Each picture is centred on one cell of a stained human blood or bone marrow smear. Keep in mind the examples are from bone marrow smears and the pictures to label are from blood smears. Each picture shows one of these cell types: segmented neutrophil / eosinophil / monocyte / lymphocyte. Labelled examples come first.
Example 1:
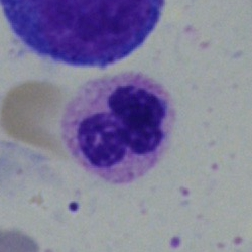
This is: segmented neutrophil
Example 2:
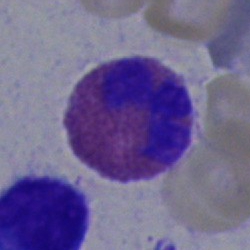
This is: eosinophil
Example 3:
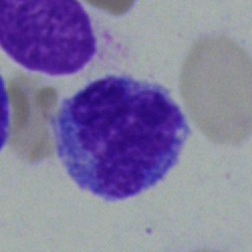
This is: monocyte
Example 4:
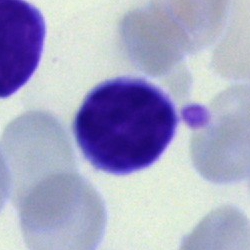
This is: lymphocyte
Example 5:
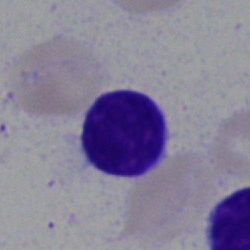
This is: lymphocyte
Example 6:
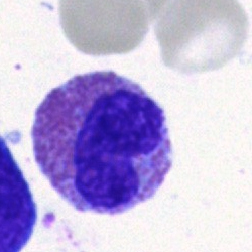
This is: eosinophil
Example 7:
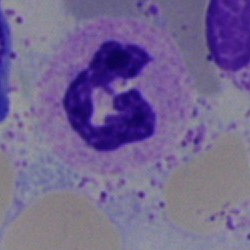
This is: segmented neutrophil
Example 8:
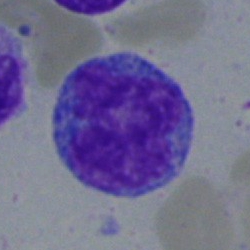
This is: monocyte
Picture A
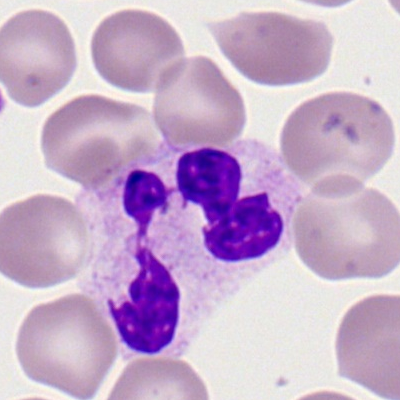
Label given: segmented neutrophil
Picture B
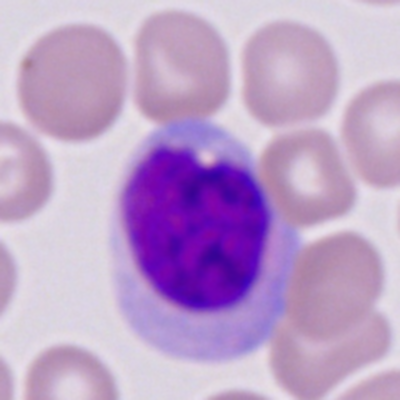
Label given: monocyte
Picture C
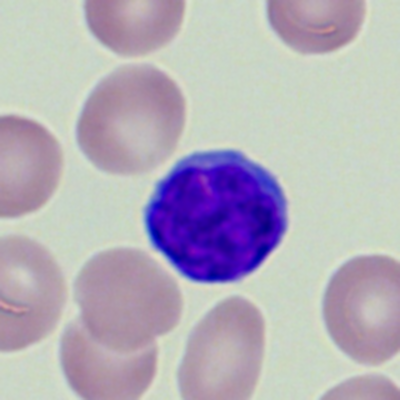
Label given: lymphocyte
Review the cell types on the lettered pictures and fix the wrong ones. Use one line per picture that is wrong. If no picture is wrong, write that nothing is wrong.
Nothing to fix; every label fits.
